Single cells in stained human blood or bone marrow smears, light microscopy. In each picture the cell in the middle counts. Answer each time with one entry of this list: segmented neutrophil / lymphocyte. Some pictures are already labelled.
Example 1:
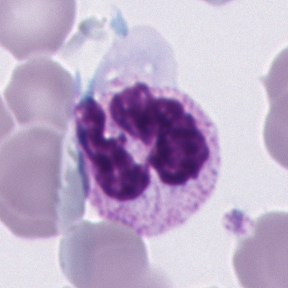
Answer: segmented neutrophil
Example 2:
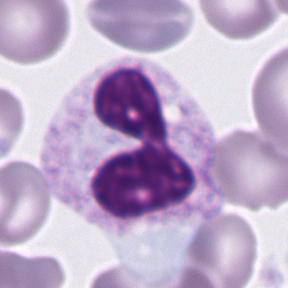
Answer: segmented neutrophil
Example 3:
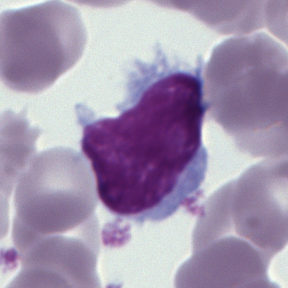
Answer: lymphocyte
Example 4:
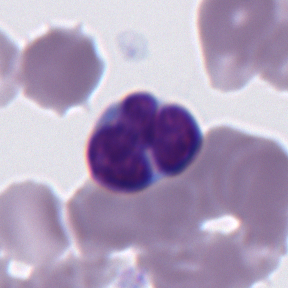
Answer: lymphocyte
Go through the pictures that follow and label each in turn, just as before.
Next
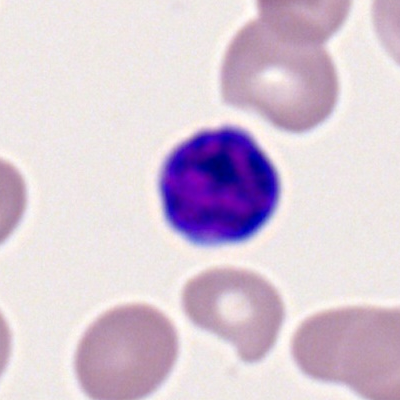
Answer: lymphocyte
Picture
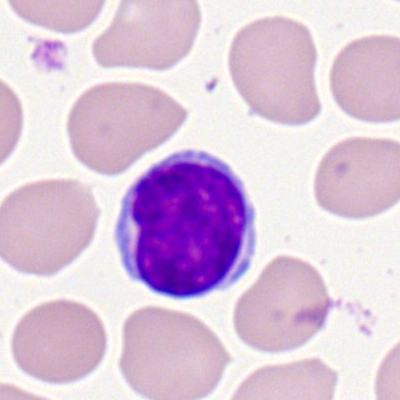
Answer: lymphocyte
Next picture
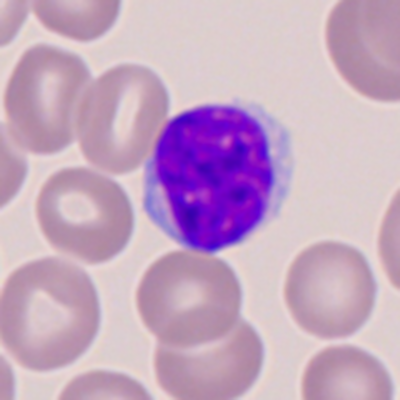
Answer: lymphocyte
